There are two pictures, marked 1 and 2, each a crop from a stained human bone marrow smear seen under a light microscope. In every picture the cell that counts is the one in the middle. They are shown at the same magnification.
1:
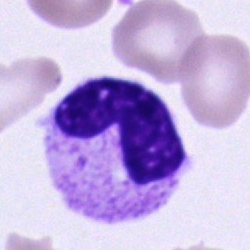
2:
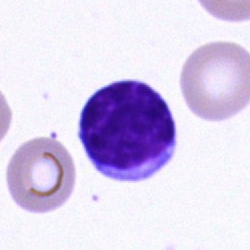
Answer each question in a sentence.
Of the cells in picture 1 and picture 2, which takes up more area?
It is the cell in picture 1, about 2 times as large in area as the cell in picture 2.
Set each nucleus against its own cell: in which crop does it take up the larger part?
Of the two, the nucleus in picture 2 makes up the greater part of its cell.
